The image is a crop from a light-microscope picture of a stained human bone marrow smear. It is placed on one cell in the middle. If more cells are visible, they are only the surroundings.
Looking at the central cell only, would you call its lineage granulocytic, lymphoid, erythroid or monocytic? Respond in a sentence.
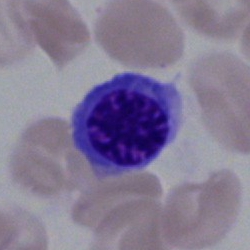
Lineage-wise, the central cell here belongs with the erythroid series.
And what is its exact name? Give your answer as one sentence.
Among the cells in view, the one in the middle is an erythroblast.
